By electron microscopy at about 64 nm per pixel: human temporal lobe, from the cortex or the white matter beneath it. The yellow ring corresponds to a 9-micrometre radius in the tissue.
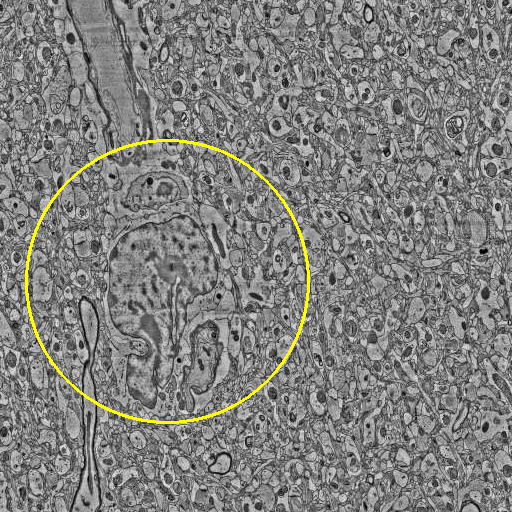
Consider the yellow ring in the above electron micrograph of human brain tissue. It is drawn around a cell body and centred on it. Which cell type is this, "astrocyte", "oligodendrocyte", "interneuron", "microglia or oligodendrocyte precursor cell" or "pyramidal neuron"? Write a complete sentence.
The cell in question is a microglial cell or oligodendrocyte precursor cell.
